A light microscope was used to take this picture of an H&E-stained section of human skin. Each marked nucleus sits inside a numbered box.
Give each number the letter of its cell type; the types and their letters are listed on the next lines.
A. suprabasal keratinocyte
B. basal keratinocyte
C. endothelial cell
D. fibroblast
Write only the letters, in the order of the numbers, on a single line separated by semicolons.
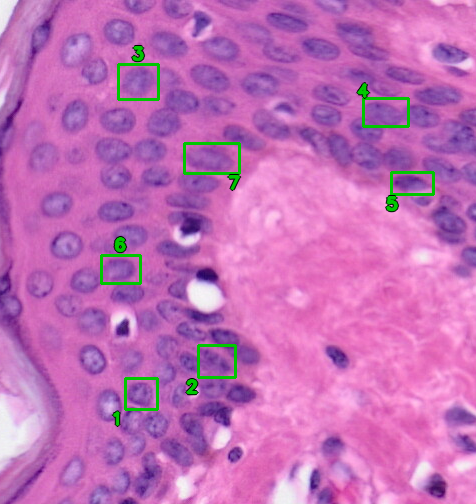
A; B; A; A; B; A; B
